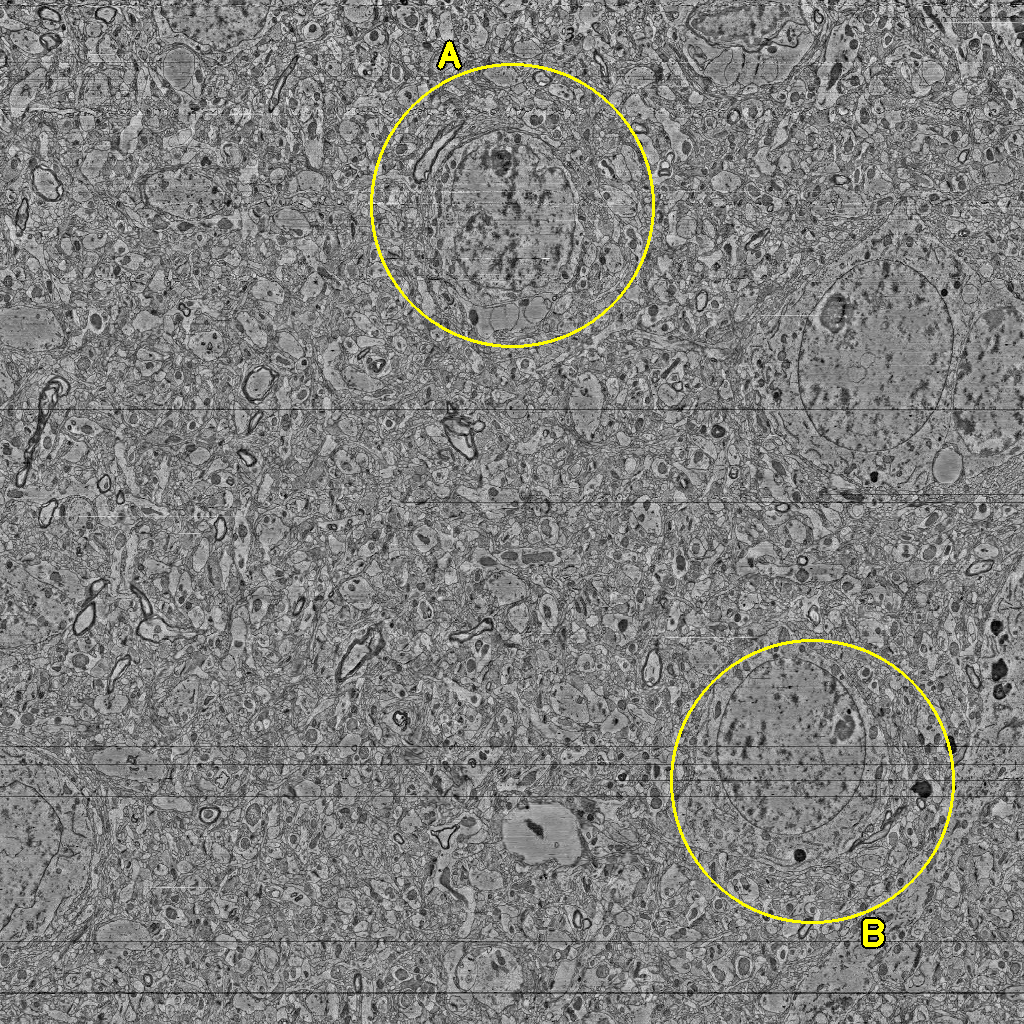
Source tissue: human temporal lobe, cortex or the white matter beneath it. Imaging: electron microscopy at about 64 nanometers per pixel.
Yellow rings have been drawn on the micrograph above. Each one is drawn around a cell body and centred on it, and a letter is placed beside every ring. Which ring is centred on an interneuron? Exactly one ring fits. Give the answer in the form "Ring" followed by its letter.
Ring A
